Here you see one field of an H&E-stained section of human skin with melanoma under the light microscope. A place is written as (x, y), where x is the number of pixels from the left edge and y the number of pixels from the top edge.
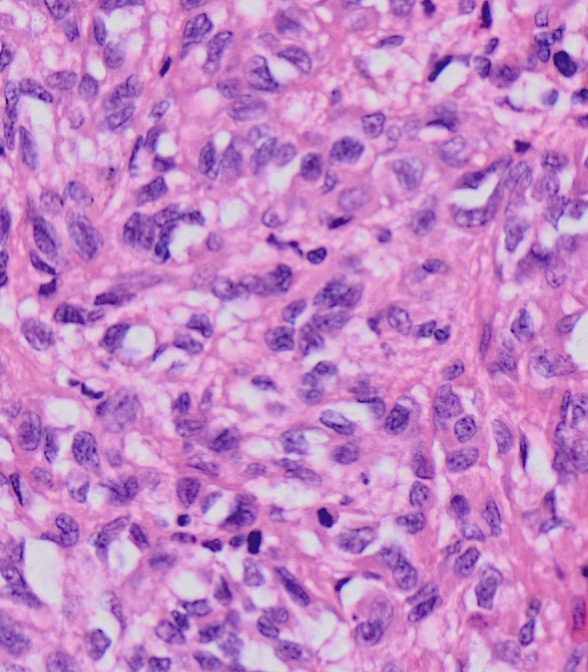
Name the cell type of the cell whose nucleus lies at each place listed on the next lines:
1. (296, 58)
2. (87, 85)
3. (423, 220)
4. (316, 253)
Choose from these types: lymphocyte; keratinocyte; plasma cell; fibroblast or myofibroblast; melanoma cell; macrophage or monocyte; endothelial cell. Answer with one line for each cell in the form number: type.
1: melanoma cell
2: melanoma cell
3: melanoma cell
4: lymphocyte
